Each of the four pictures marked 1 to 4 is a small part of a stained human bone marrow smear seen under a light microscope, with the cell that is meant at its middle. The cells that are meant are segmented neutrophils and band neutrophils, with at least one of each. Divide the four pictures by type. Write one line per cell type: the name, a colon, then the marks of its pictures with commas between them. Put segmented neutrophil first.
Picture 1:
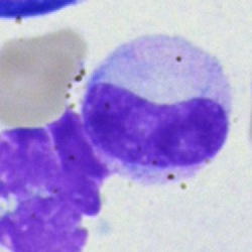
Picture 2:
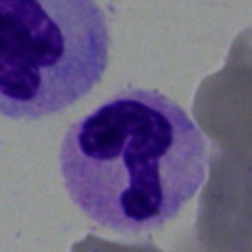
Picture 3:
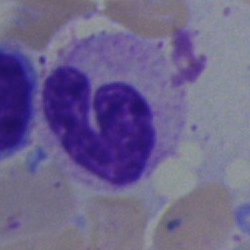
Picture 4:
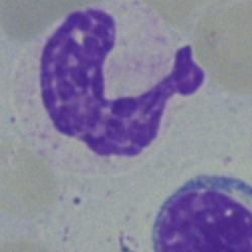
segmented neutrophil: 2
band neutrophil: 1, 3, 4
